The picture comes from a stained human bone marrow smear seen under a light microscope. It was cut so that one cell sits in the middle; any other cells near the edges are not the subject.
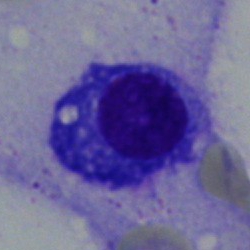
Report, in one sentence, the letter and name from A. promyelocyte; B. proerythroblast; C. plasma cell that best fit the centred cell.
The cell centered in the crop is a plasma cell, making option C the correct pick.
